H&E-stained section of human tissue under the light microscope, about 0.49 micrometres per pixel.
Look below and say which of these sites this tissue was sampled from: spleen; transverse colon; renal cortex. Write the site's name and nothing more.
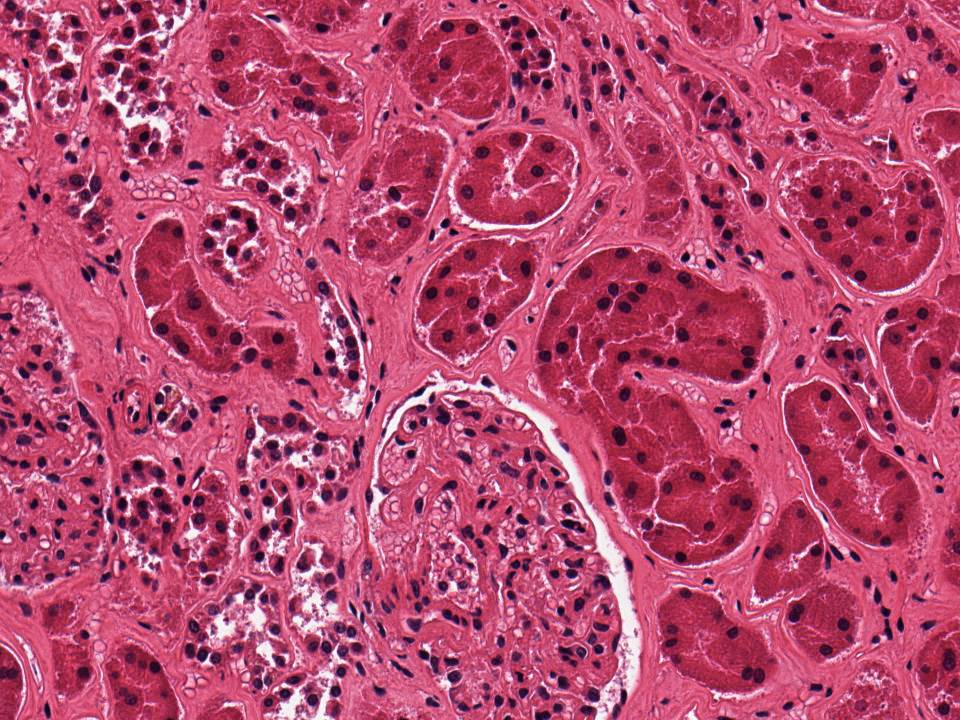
renal cortex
